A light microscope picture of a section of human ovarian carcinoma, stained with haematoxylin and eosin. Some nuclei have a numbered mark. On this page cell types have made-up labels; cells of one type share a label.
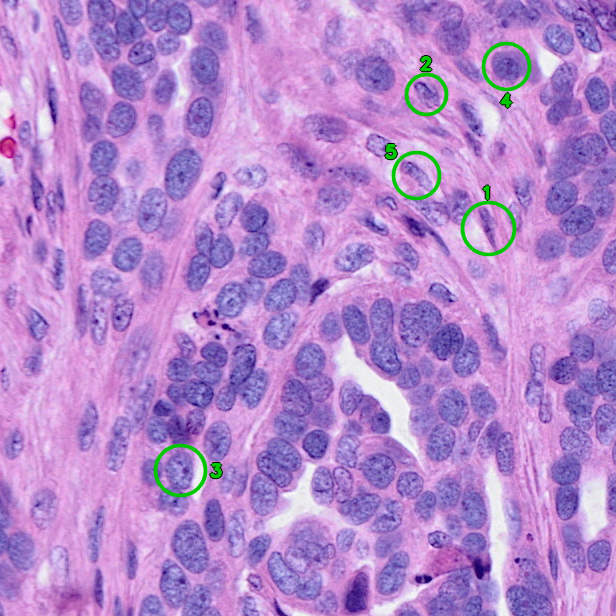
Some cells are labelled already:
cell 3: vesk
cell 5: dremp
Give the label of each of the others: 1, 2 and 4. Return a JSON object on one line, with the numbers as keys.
{"1": "dremp", "2": "dremp", "4": "vesk"}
